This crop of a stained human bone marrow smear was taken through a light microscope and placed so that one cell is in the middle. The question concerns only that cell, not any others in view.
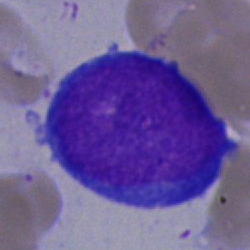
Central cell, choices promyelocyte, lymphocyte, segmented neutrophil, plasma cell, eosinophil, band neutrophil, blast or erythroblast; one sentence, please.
By classification, the middle cell of this crop is a blast.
